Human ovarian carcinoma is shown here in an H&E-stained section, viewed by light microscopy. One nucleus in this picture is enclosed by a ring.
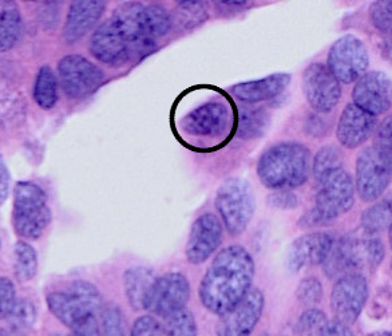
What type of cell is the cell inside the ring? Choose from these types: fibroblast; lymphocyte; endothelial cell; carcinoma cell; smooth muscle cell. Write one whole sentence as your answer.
For cell typing purposes, the cell inside the ring is a carcinoma cell.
